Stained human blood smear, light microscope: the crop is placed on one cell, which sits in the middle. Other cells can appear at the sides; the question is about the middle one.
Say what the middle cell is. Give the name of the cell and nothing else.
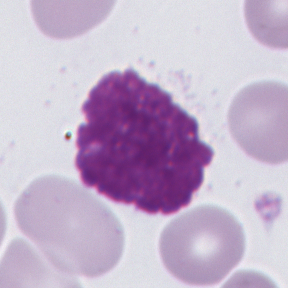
smudge cell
